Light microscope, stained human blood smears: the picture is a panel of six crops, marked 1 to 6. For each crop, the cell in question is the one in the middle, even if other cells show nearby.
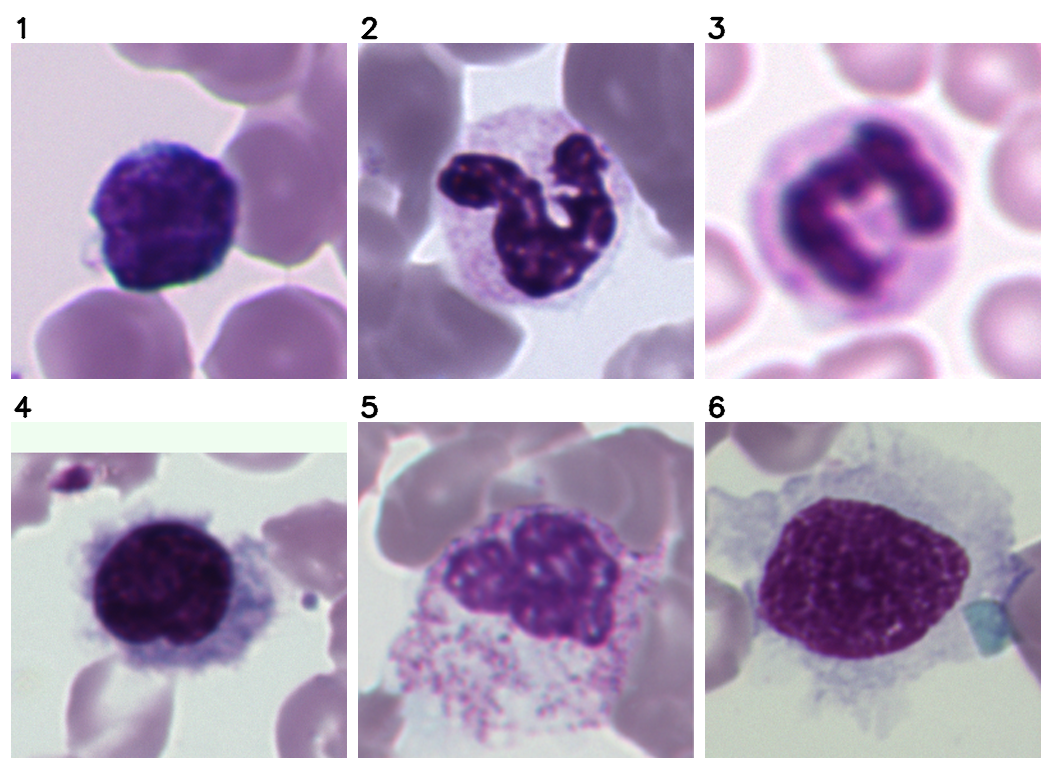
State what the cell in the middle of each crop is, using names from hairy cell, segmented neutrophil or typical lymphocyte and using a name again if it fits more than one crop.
1: typical lymphocyte
2: segmented neutrophil
3: segmented neutrophil
4: hairy cell
5: segmented neutrophil
6: hairy cell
